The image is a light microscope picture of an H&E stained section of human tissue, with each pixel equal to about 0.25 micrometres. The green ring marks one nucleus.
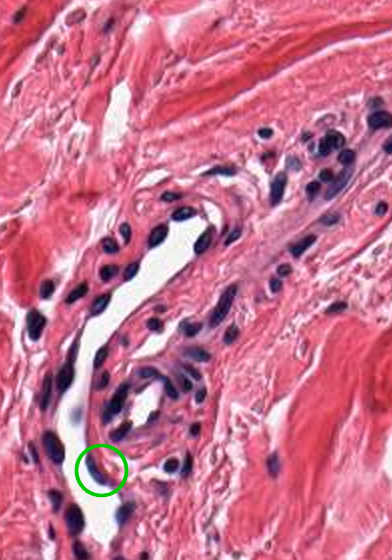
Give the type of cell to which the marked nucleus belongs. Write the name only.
endothelial cell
